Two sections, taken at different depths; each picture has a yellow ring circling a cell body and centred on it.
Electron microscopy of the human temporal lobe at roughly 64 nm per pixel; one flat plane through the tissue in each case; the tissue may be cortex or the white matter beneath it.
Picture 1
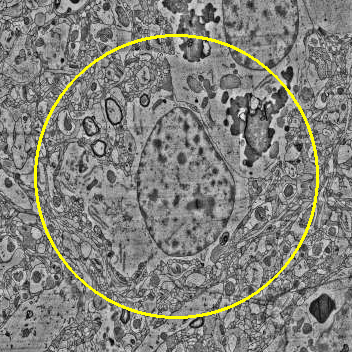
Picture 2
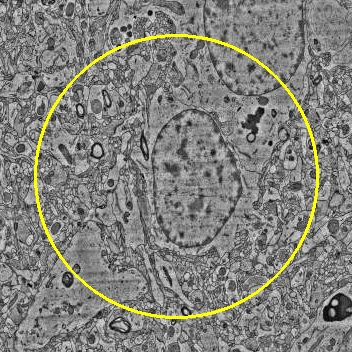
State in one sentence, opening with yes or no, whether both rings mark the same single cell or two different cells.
Yes, one and the same cell lies under both rings.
